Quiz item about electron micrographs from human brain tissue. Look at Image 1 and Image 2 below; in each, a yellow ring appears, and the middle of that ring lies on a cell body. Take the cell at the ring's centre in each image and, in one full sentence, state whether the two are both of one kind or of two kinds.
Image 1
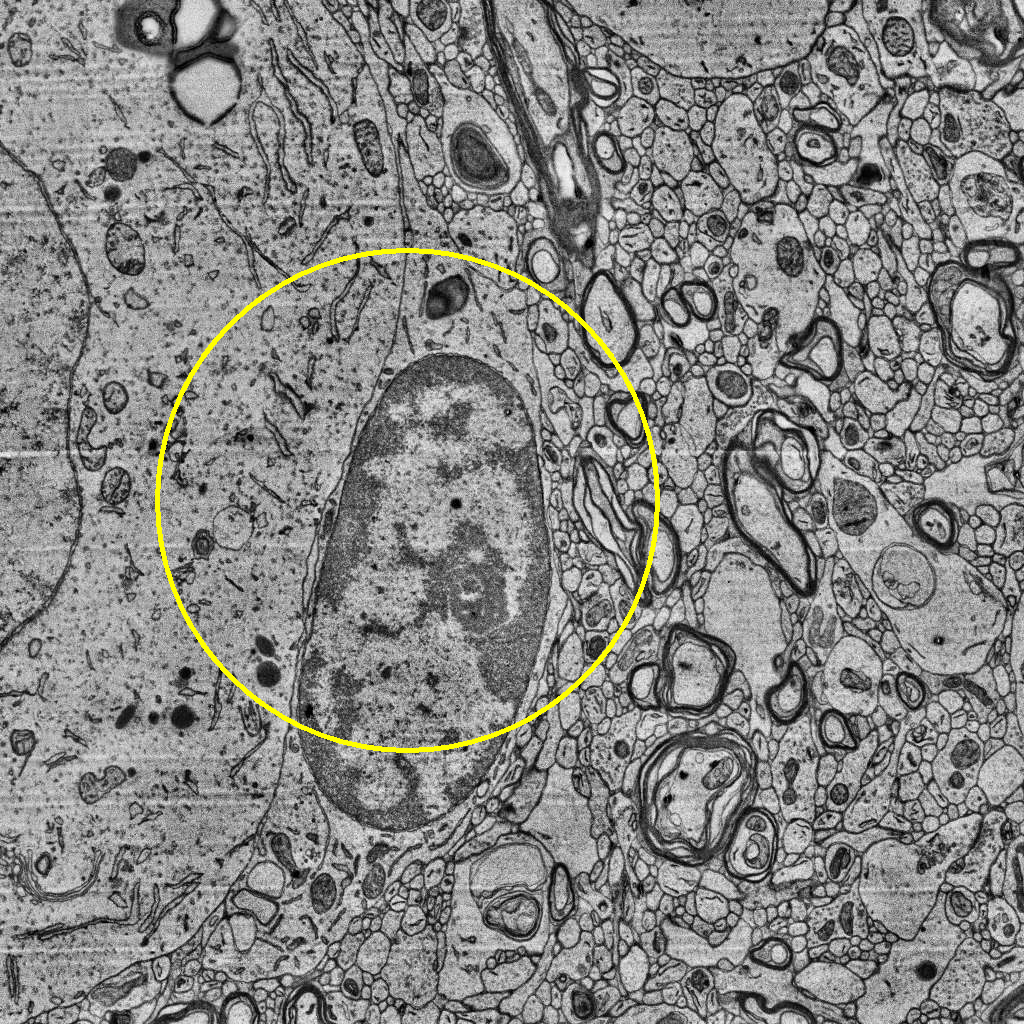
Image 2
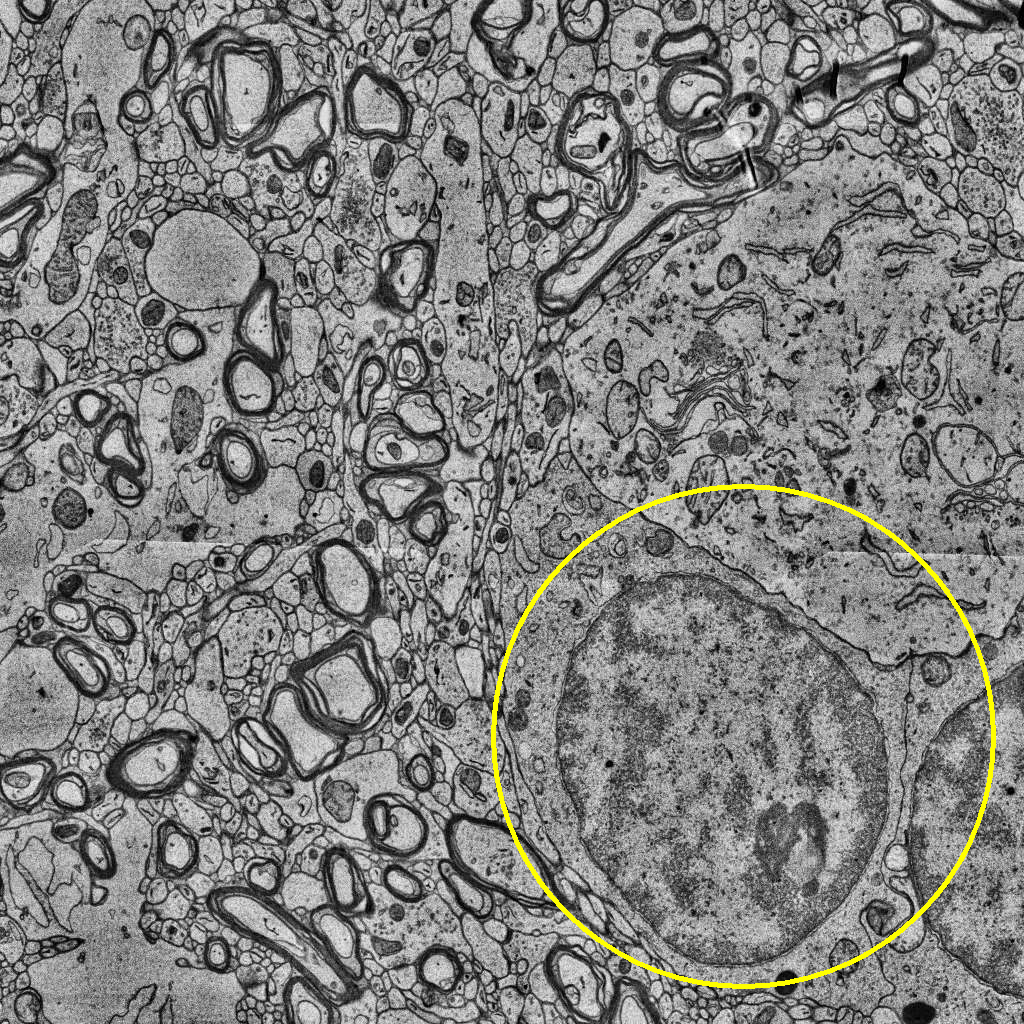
In Image 1 and Image 2, the cells at the ring centres are of two kinds.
